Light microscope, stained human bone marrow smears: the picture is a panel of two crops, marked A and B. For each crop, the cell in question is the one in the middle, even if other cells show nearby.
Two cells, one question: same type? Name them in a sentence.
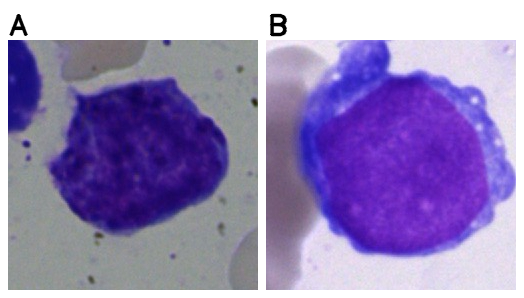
Yes, both crops are centred on blasts.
